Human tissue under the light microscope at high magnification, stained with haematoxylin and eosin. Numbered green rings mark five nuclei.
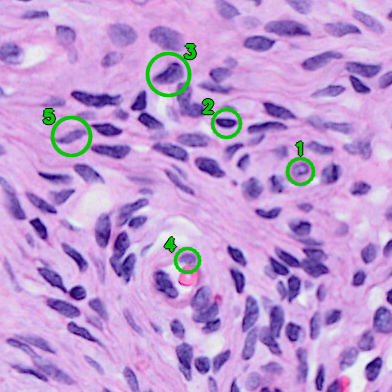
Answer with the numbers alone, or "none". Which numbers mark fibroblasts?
2, 3, 5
